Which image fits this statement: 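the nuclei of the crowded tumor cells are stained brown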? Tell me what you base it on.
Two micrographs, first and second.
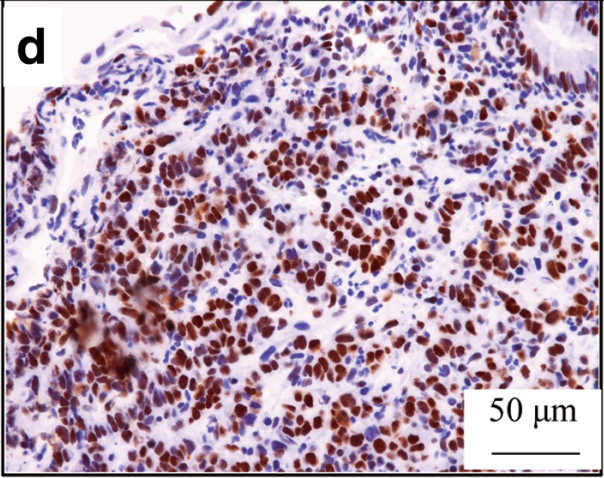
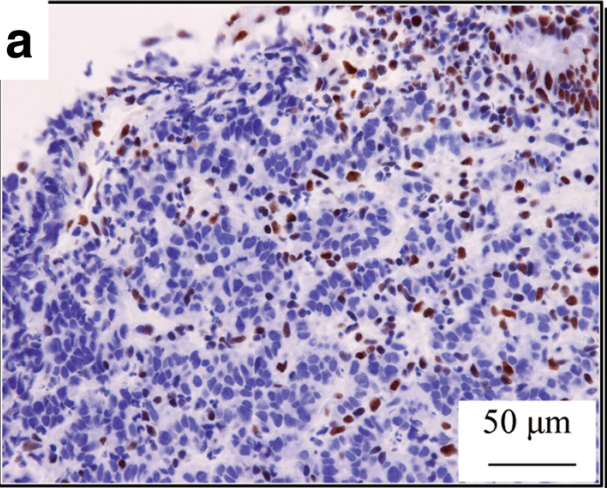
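The first image. First image: most nuclei in the packed tumor cell groups are dark brown. Second image: the packed tumor nuclei are blue, with only scattered small brown nuclei between them.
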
